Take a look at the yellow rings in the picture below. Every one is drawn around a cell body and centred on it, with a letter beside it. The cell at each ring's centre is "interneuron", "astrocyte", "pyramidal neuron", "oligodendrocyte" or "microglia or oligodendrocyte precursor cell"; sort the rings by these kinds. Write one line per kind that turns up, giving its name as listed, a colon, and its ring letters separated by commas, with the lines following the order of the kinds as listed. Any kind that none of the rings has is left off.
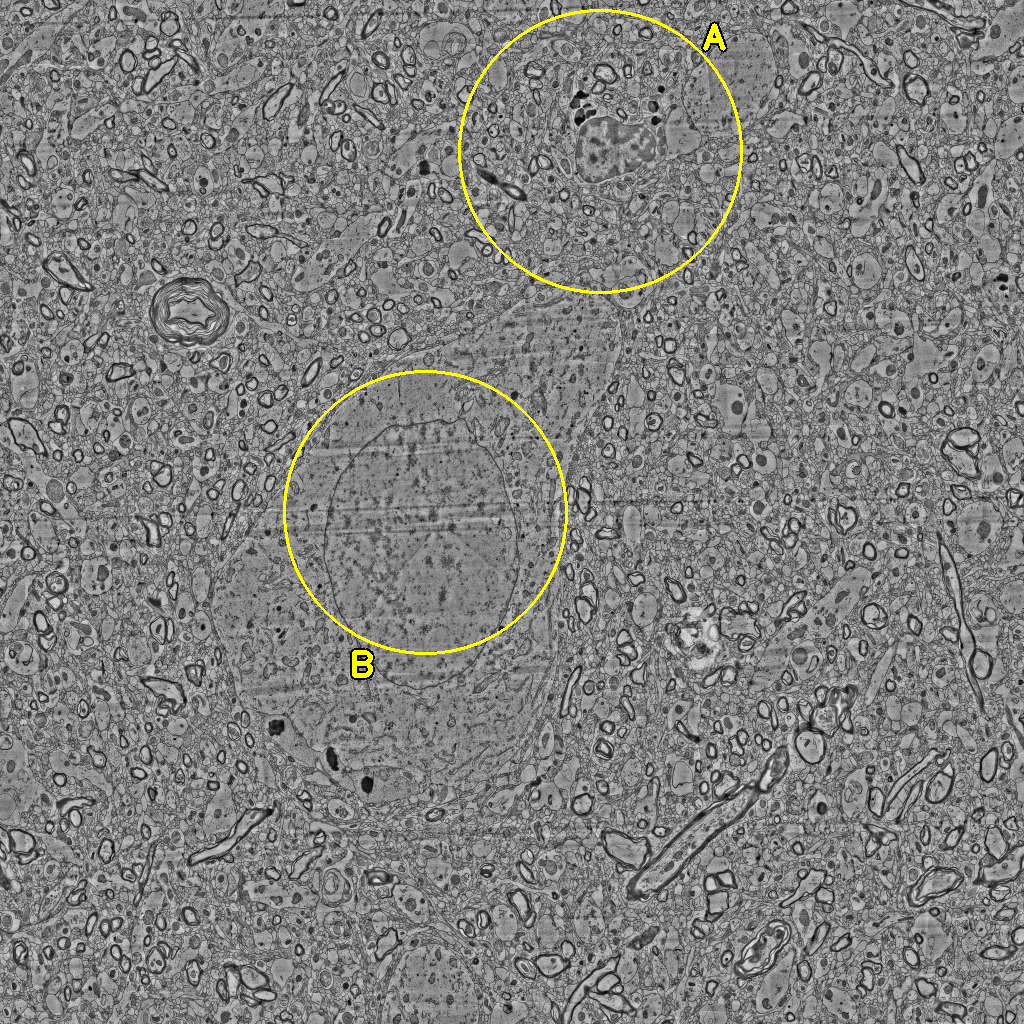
pyramidal neuron: B
microglia or oligodendrocyte precursor cell: A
